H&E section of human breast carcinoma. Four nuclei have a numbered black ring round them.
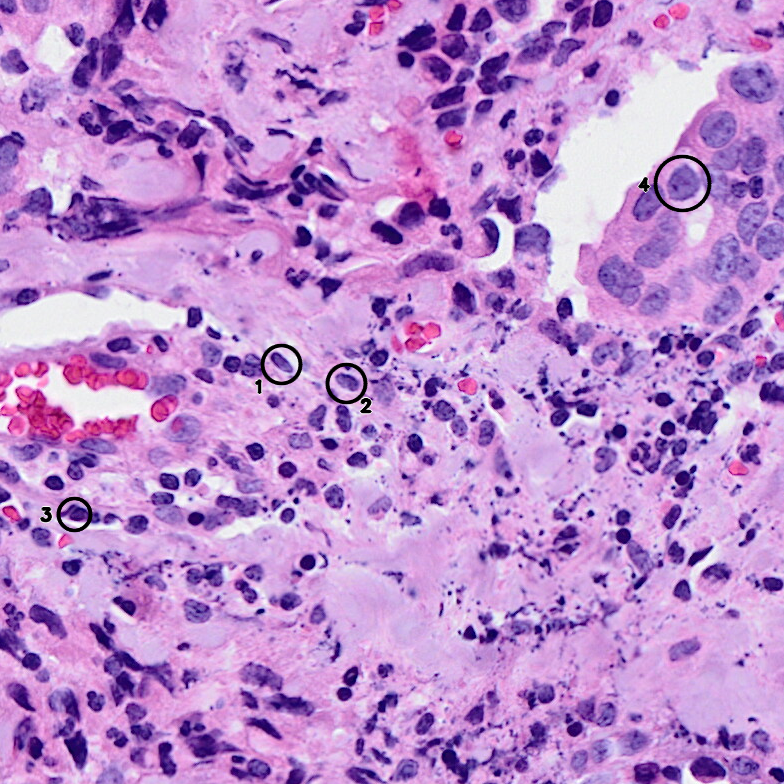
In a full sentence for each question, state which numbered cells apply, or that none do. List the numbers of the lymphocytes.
The cells the numbers 1, 2 and 3 point to are lymphocytes.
